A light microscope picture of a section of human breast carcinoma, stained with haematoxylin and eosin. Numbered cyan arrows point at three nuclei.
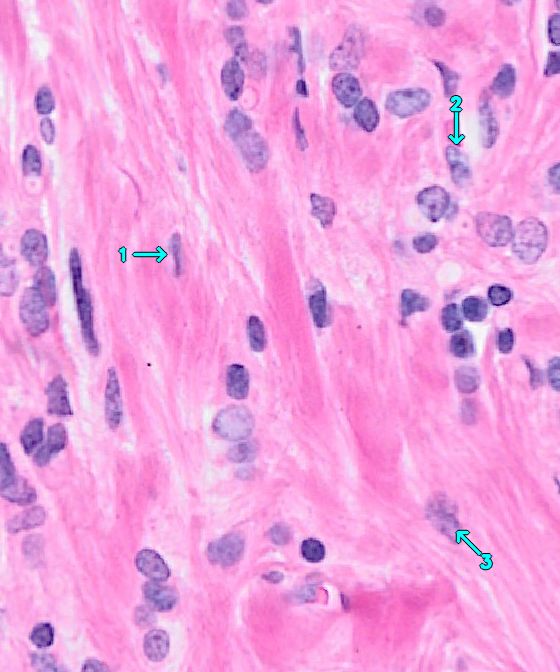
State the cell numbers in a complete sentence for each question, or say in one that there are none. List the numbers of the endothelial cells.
Cell 2 alone, of all the numbered cells, is an endothelial cell.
